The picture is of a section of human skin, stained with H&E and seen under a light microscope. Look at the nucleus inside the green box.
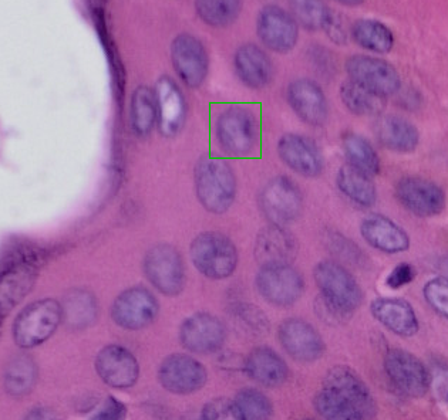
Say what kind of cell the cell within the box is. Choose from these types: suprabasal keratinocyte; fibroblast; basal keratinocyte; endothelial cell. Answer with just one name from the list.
suprabasal keratinocyte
